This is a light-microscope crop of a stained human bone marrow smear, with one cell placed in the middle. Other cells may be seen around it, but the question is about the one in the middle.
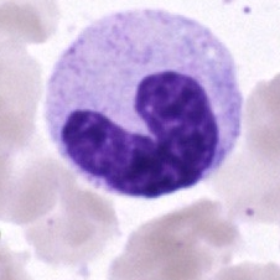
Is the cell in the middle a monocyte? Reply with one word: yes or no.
no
